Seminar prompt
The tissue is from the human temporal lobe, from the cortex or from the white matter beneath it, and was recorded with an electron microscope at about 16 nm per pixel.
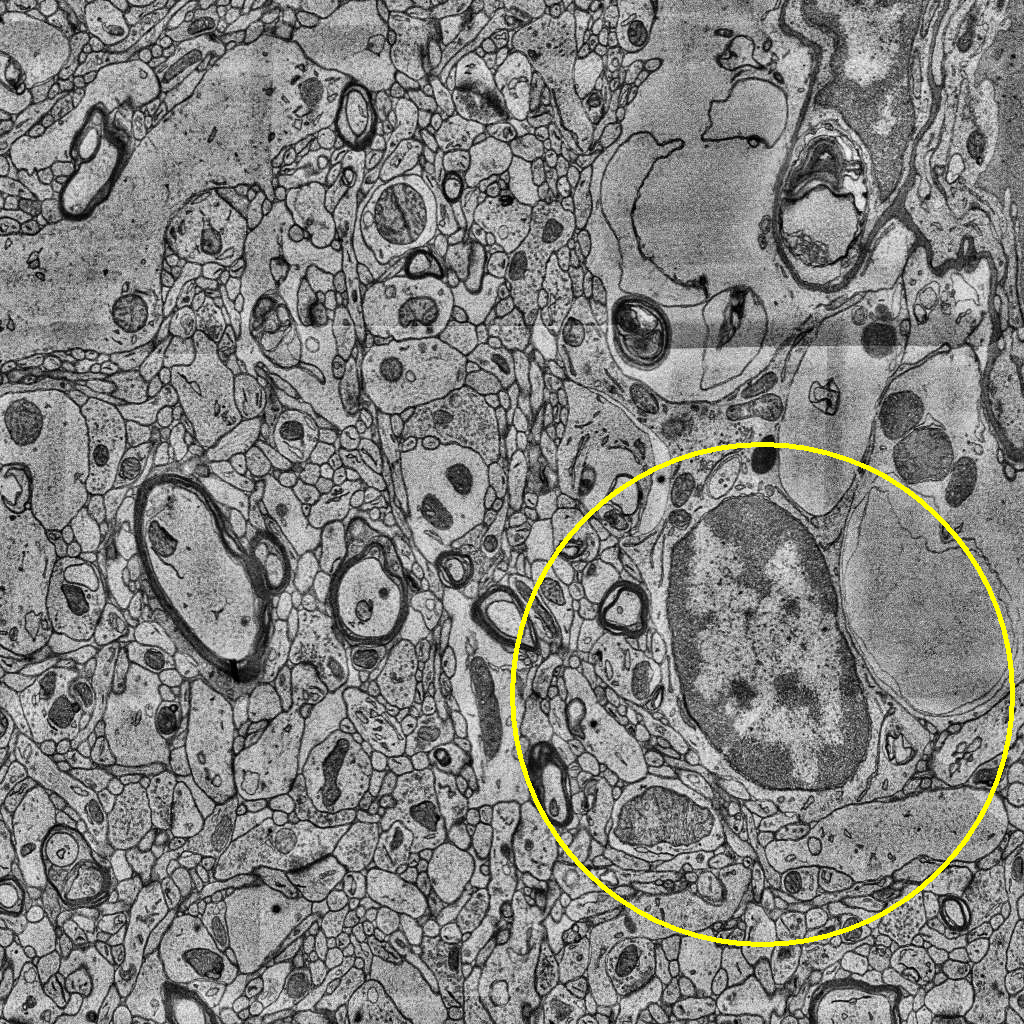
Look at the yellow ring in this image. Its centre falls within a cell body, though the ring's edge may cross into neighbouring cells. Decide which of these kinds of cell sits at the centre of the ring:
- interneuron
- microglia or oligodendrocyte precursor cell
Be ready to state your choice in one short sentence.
The kind of cell at the ring's centre is a microglial cell or oligodendrocyte precursor cell.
